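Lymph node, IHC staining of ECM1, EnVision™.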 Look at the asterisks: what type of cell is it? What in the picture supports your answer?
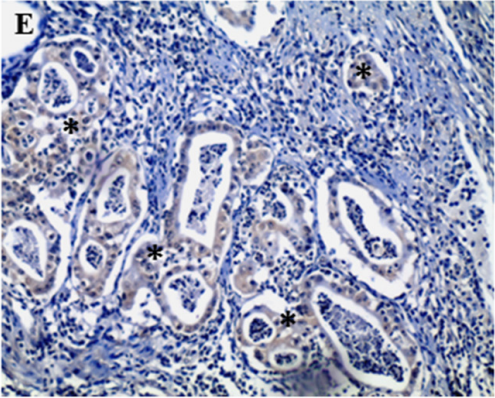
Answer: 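Gland-like structures of larger cells with light brown cytoplasm. Surrounded by sheets of small, round, dark lymphoid cells. On this evidence: tumor cells.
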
